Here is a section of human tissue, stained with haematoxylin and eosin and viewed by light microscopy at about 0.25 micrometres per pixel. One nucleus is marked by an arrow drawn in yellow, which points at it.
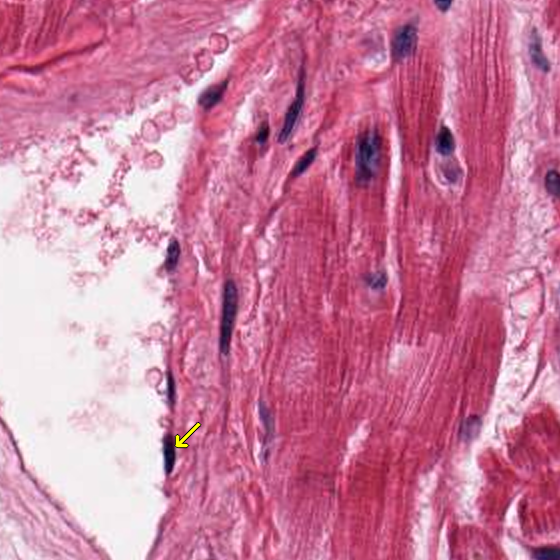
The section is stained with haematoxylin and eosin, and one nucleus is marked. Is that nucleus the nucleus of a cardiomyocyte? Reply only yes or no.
no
